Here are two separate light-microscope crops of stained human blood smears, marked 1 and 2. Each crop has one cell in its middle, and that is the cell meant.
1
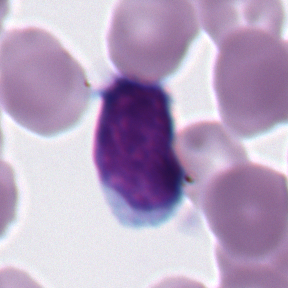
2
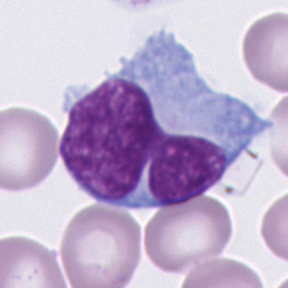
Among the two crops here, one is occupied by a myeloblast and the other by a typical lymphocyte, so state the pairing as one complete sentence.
Crop 1 corresponds to a typical lymphocyte, and crop 2 corresponds to a myeloblast.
